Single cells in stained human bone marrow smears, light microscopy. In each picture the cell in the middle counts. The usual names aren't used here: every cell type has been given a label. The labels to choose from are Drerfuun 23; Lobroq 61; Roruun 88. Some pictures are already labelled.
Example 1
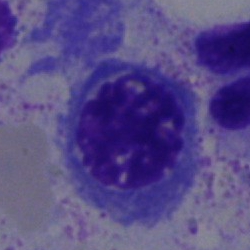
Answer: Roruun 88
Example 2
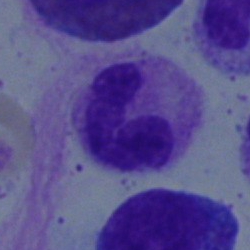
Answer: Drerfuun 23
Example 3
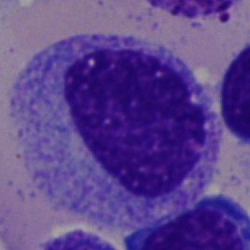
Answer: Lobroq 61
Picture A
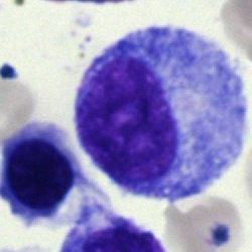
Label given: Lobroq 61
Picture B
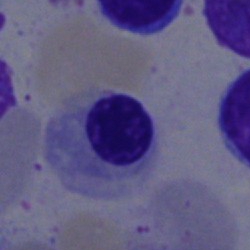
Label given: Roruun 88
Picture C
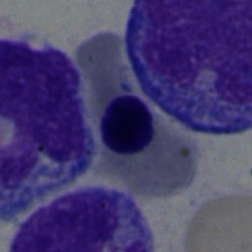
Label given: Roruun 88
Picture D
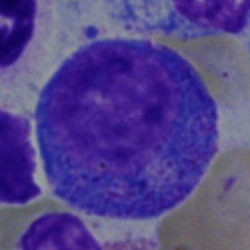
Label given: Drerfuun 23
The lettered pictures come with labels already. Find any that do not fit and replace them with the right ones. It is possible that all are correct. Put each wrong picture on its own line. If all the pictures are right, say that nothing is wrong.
D: not Drerfuun 23 but Lobroq 61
